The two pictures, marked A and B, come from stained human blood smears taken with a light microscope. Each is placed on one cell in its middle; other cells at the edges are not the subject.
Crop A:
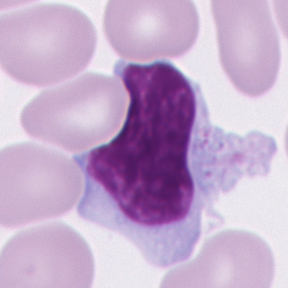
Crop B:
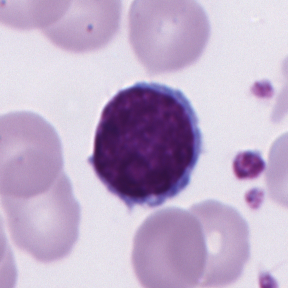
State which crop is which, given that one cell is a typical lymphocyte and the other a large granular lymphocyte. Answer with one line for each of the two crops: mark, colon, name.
A: large granular lymphocyte
B: typical lymphocyte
